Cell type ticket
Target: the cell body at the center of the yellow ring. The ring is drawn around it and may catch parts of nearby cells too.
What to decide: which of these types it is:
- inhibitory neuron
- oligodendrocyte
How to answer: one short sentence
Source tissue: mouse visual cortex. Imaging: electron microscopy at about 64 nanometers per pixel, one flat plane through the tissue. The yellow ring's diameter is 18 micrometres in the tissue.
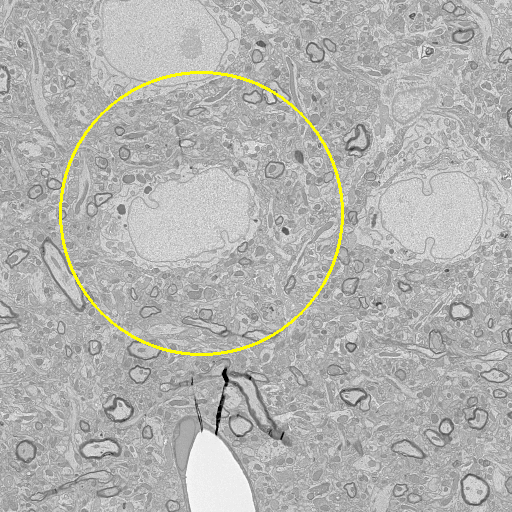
The cell at the center of the ring is an inhibitory neuron.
